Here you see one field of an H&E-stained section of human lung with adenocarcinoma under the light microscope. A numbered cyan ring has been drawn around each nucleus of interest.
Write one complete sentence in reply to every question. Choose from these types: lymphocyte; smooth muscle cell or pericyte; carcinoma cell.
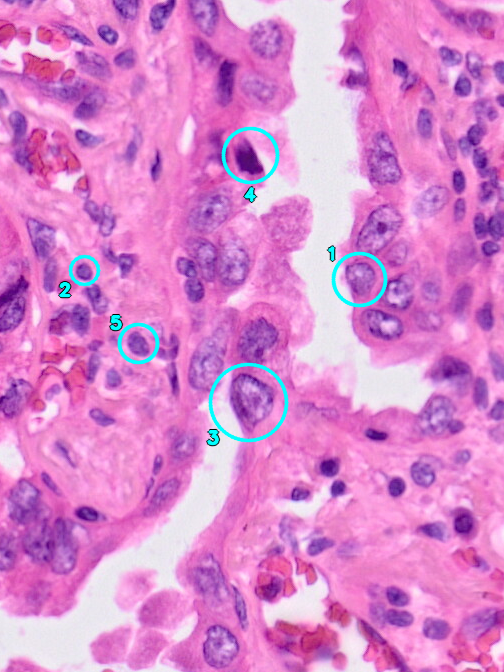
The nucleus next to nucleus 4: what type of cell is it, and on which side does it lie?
The nearest nucleus is that of a carcinoma cell and lies to the left of nucleus 4.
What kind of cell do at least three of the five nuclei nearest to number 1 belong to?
The majority of the five nuclei closest to number 1 belong to carcinoma cells.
